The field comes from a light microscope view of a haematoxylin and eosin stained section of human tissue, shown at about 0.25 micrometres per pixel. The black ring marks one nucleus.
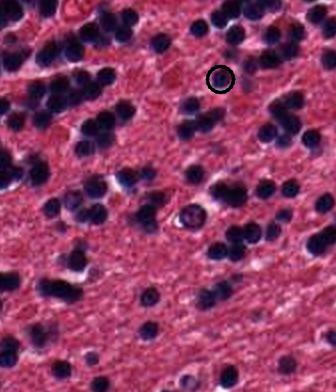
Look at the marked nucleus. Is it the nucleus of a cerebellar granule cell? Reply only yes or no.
yes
